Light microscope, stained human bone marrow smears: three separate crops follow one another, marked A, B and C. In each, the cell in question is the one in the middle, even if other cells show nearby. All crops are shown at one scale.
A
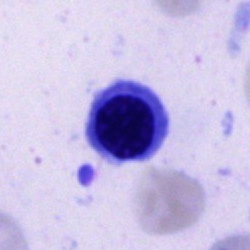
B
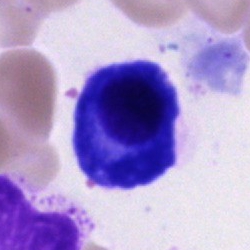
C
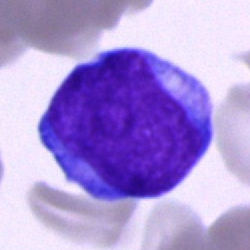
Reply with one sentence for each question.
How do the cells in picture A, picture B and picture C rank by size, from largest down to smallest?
Going down, they run C, B, A.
